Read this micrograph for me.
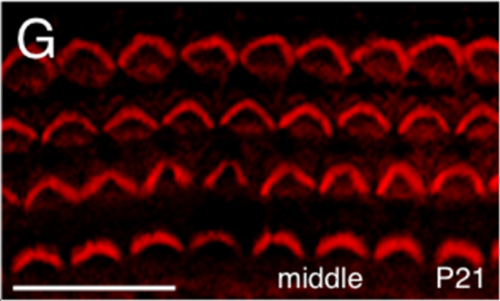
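Three upper rows of outer hair cell bundles each form a regular V or crescent shape, evenly spaced and all pointing the same way. A single lower row of inner hair cell bundles forms flatter, gently curved arcs. The arrangement is orderly across the whole field.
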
